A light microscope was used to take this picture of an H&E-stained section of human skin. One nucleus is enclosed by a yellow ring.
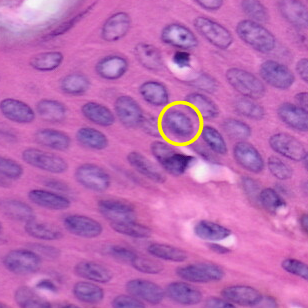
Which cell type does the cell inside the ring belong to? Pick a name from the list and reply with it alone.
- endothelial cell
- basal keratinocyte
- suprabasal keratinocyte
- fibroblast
suprabasal keratinocyte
